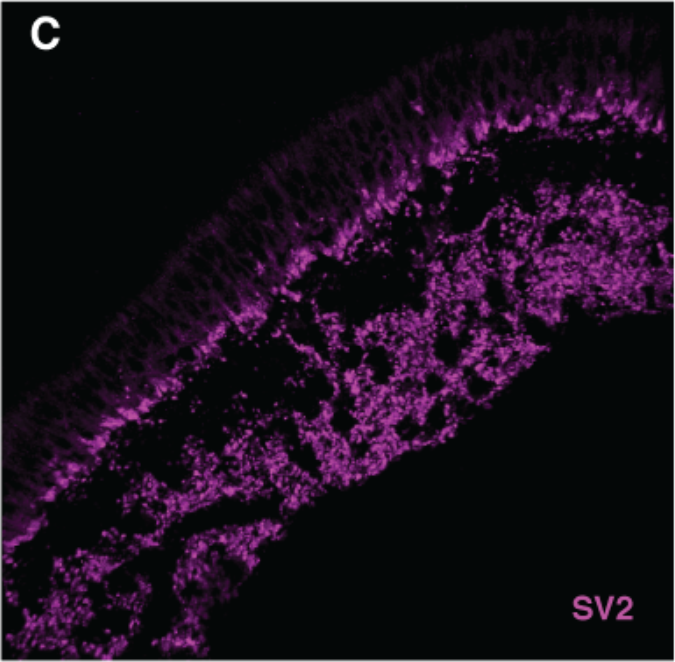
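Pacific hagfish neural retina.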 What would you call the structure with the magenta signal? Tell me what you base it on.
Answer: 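Magenta is punctate, clustered in an outer band and a broad inner meshwork.
Hence: synaptic sites.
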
